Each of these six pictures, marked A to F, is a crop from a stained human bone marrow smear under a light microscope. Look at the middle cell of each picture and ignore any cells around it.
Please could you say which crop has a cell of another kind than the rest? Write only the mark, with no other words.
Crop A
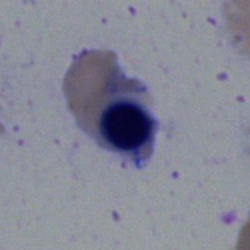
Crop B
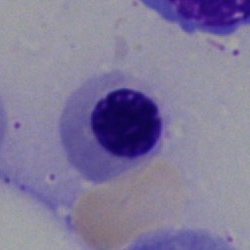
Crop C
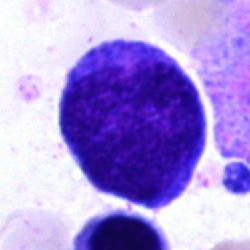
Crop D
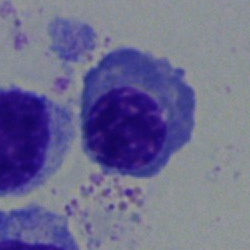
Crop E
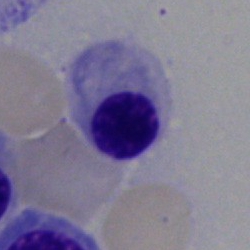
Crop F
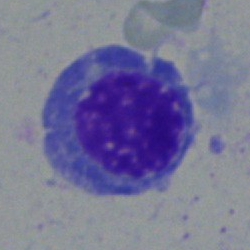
C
